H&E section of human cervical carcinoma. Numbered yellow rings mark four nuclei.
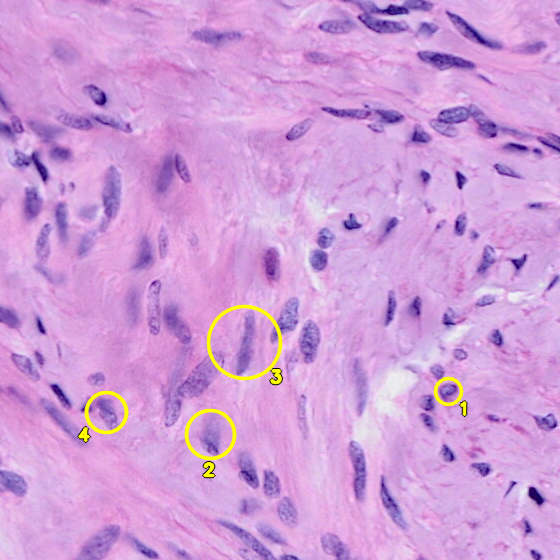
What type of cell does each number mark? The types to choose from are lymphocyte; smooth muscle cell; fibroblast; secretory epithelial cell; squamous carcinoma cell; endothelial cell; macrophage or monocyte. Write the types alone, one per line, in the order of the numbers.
smooth muscle cell
fibroblast
fibroblast
smooth muscle cell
